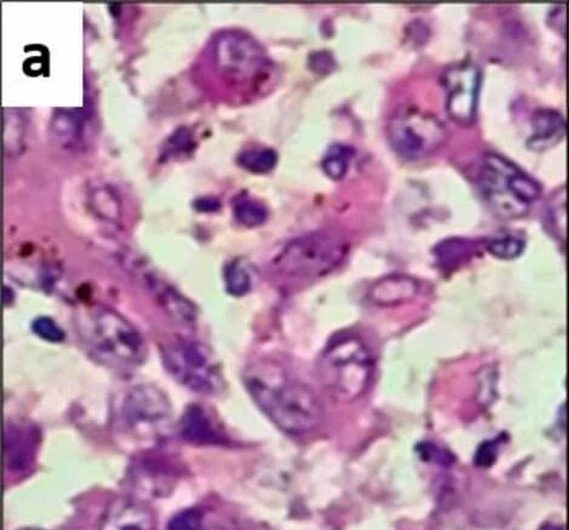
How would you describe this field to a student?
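Large tumour cells with epithelioid differentiation lie loosely among smaller dark round nuclei. Their nuclei are big, round to oval, with pale open chromatin and prominent nucleoli, and each is surrounded by a moderate amount of pink eosinophilic cytoplasm.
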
